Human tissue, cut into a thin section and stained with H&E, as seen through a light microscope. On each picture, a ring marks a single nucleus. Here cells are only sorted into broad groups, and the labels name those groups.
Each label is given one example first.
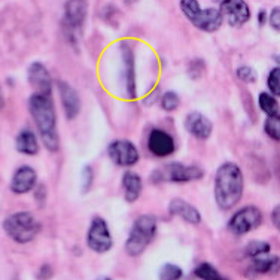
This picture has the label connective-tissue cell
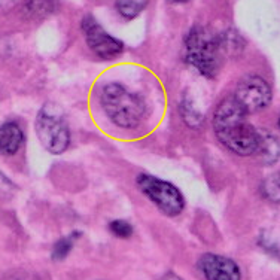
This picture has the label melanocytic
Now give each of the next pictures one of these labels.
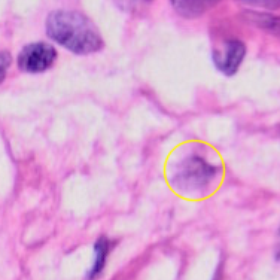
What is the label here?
connective-tissue cell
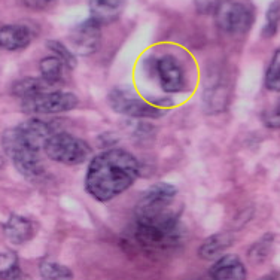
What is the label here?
melanocytic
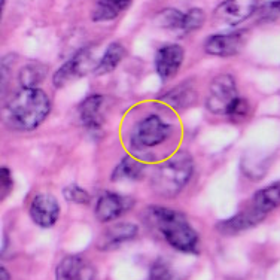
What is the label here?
melanocytic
